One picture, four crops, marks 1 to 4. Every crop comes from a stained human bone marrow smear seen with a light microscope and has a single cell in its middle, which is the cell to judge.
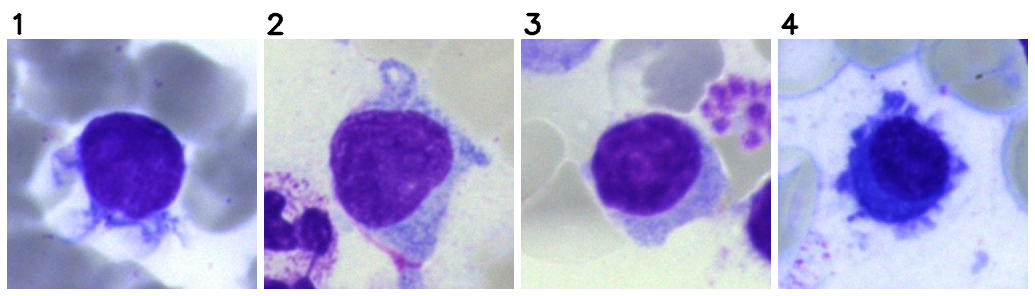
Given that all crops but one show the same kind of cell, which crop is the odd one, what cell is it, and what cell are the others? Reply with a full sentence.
While crop 4 shows a plasma cell, the other crops all show hairy cells.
